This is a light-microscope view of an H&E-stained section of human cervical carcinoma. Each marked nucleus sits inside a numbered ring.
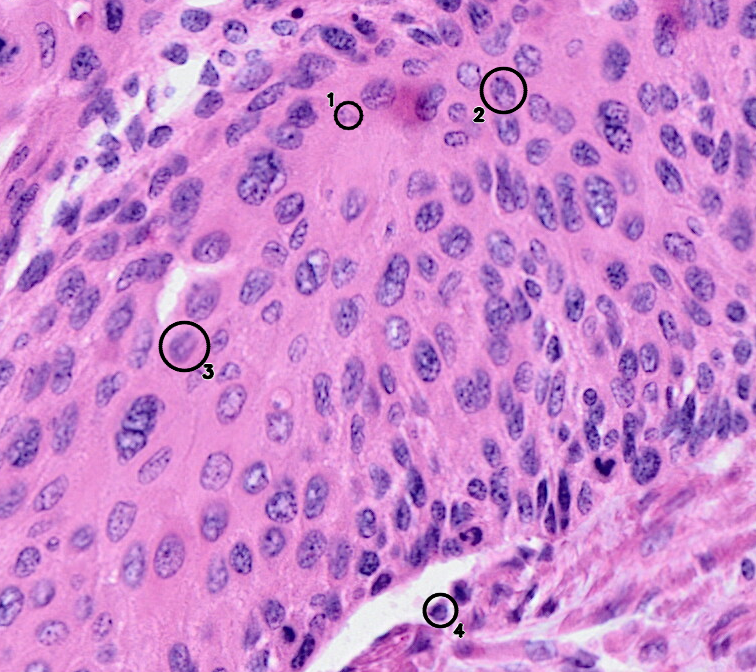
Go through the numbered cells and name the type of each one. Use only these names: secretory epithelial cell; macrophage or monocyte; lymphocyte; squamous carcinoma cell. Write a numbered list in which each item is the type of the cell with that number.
1. squamous carcinoma cell
2. squamous carcinoma cell
3. squamous carcinoma cell
4. lymphocyte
